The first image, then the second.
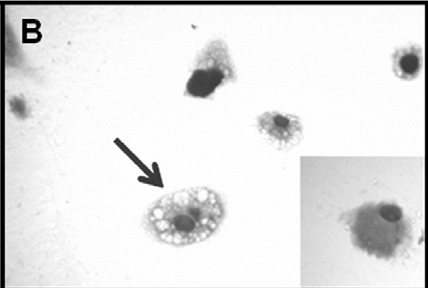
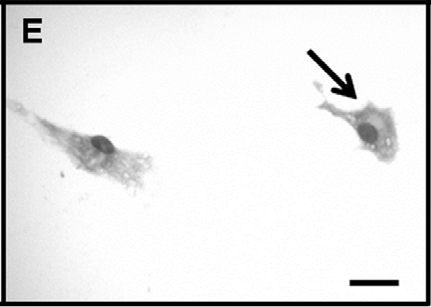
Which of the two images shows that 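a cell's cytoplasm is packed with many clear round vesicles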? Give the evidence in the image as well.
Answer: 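First image: one enlarged cell is filled with numerous round clear vesicles around its nucleus. That points to this answer: the first image.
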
